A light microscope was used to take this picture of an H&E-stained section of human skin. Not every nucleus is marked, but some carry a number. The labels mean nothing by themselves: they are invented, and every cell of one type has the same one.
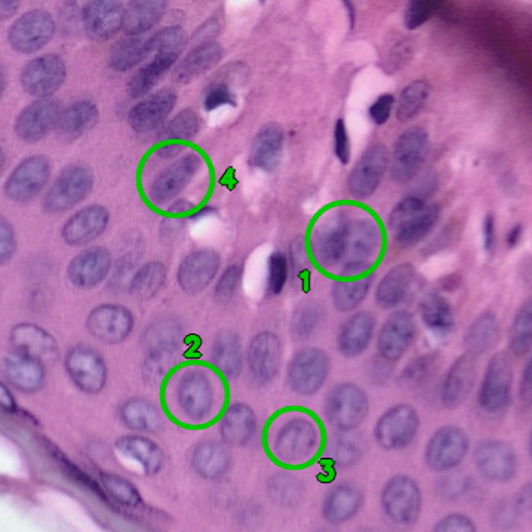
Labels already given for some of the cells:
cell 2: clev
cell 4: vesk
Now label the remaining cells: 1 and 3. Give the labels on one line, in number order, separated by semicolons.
vesk; clev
